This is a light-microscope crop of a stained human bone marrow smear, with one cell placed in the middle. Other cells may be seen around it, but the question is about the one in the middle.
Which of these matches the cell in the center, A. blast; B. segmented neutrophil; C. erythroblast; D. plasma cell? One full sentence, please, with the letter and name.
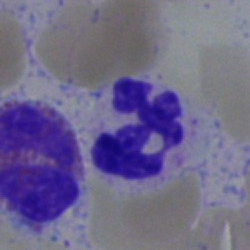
The right choice is option B: the cell in the middle is a segmented neutrophil.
